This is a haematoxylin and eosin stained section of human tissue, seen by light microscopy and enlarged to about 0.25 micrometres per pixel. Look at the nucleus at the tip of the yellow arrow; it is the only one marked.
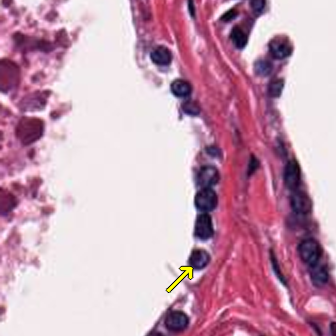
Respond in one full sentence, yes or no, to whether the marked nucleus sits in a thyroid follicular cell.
Yes, the nucleus shown with the mark belongs to a thyroid follicular cell.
